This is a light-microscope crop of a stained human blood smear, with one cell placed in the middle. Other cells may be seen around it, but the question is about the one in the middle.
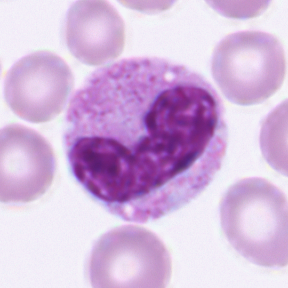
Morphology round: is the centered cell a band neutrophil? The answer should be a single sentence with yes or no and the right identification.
Yes, what sits in the centre of the crop is a band neutrophil.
